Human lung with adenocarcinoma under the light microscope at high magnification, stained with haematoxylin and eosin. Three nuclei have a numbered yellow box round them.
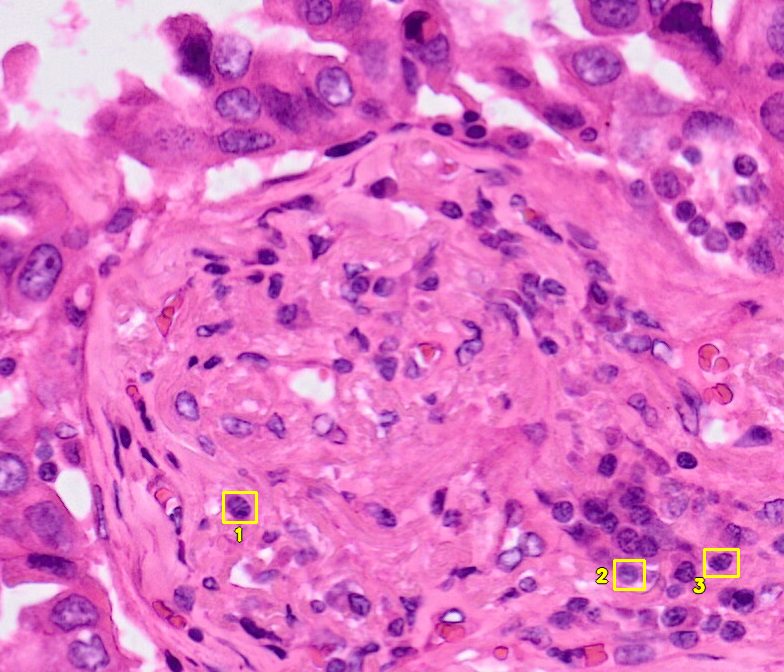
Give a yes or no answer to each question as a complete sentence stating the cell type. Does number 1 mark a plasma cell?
Yes, the cell identified as number 1 is a plasma cell.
